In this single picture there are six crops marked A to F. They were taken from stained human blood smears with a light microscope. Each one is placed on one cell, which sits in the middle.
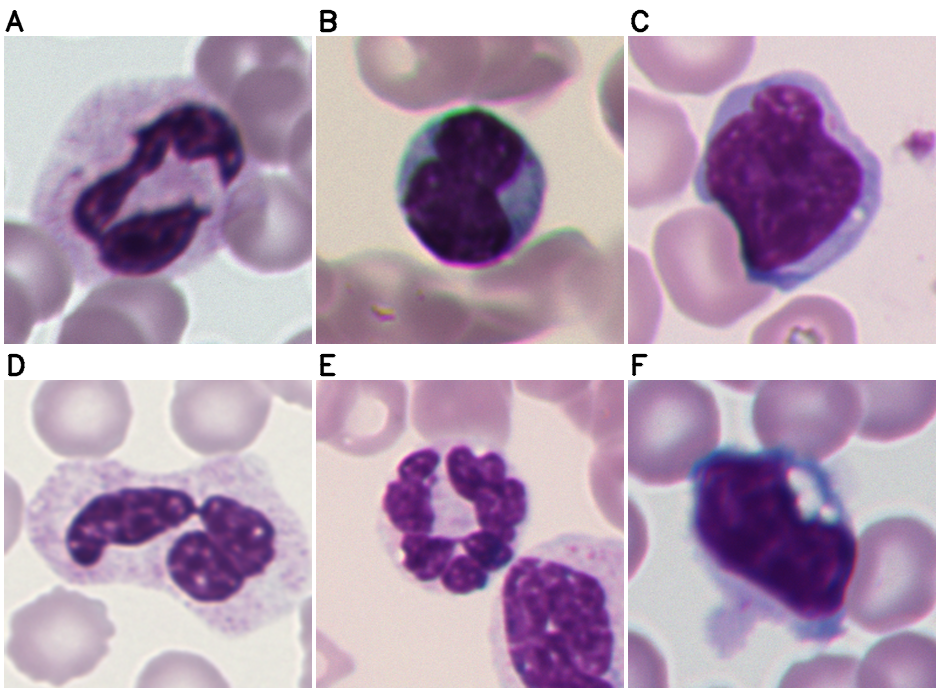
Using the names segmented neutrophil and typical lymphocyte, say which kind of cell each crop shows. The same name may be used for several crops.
A: segmented neutrophil
B: typical lymphocyte
C: typical lymphocyte
D: segmented neutrophil
E: segmented neutrophil
F: typical lymphocyte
